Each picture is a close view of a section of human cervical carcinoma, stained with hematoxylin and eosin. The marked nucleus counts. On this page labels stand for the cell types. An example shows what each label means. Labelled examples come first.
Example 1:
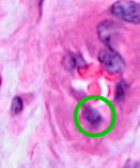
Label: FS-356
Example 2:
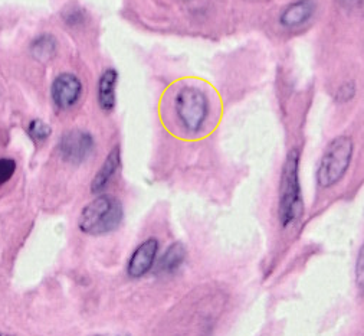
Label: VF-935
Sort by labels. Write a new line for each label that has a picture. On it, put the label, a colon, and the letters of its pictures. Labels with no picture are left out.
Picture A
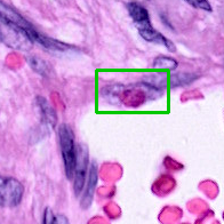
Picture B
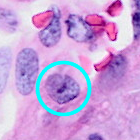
FS-356: A, B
